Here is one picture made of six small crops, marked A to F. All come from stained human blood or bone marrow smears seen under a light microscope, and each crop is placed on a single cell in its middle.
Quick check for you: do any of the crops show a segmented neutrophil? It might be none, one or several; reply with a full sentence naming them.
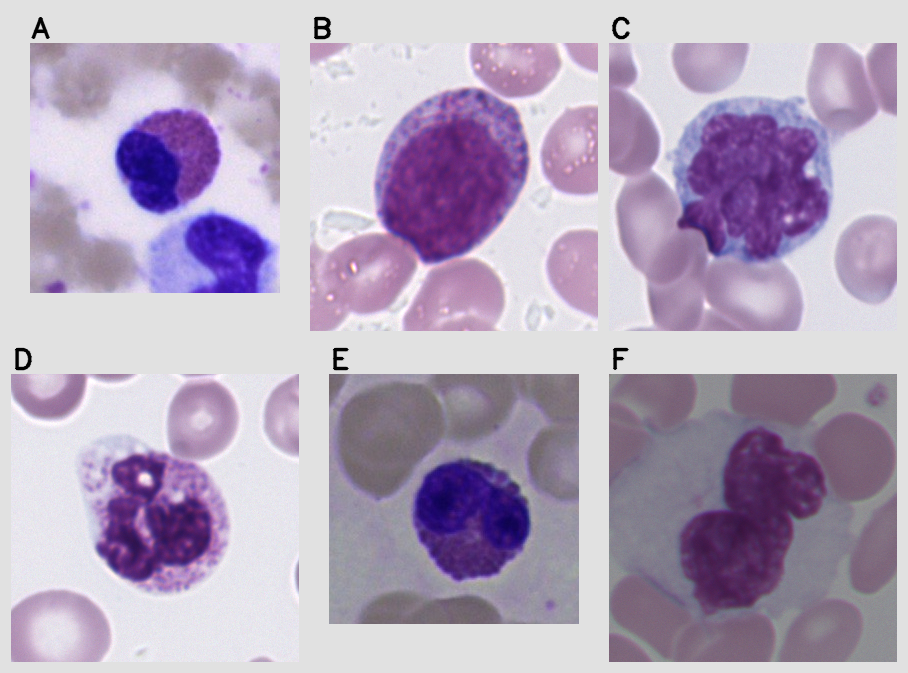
In none of the crops except crop D is a segmented neutrophil shown.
